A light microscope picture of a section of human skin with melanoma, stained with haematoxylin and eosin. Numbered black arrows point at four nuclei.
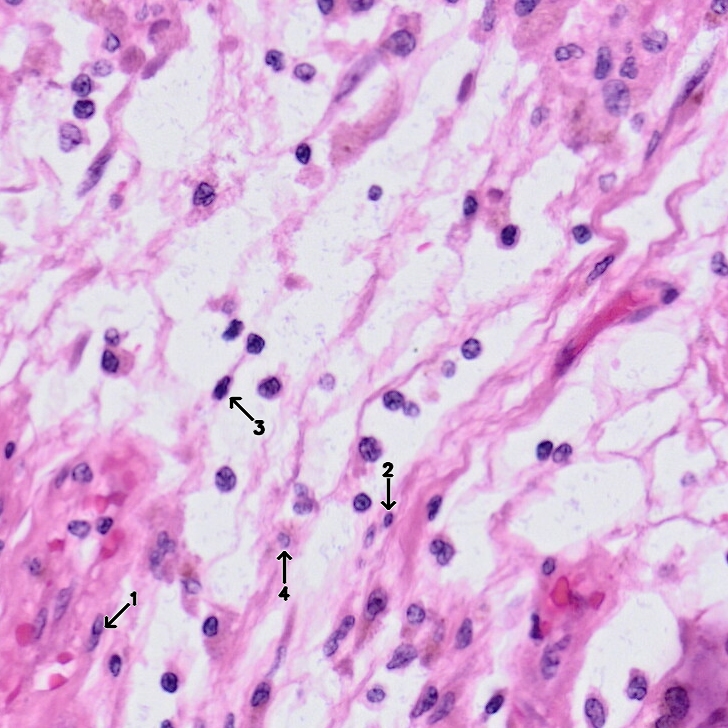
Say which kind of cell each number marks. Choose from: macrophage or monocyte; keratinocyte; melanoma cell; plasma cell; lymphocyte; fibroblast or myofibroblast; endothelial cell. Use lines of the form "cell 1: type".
cell 1: macrophage or monocyte
cell 2: lymphocyte
cell 3: lymphocyte
cell 4: macrophage or monocyte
